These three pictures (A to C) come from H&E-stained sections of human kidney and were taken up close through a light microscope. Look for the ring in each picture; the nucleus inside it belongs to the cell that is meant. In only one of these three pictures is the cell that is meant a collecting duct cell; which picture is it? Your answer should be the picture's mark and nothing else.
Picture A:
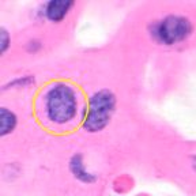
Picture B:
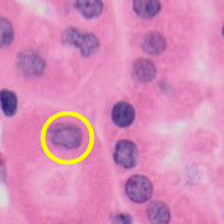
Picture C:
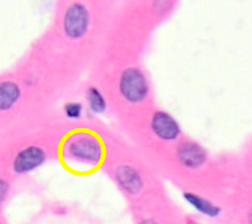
A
